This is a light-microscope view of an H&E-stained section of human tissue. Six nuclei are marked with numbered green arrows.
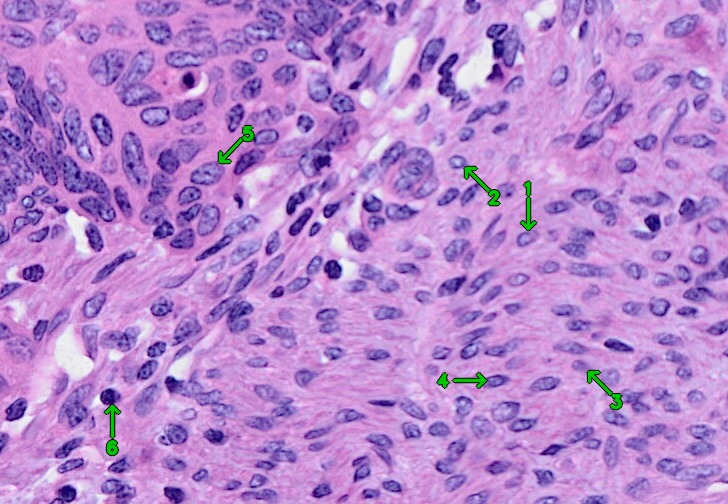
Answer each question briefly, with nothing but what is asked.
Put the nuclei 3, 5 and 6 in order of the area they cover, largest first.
5, 6, 3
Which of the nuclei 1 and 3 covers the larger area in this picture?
1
